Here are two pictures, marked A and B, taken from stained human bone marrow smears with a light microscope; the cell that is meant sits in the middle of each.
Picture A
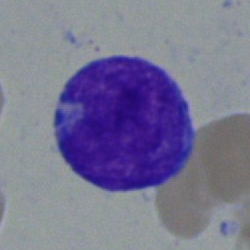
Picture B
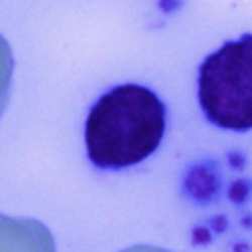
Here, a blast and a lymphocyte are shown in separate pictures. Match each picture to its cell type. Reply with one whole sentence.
The cell in picture A is a blast, and the one in picture B is a lymphocyte.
